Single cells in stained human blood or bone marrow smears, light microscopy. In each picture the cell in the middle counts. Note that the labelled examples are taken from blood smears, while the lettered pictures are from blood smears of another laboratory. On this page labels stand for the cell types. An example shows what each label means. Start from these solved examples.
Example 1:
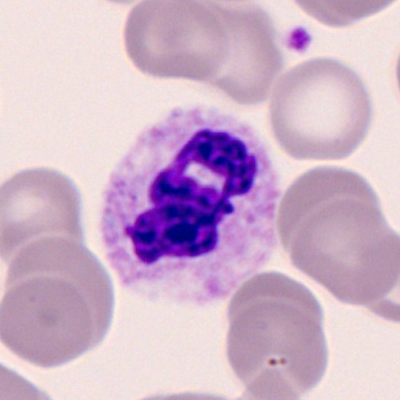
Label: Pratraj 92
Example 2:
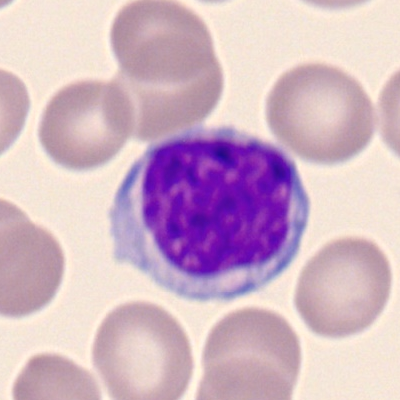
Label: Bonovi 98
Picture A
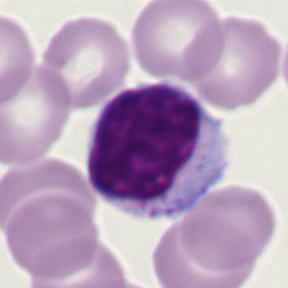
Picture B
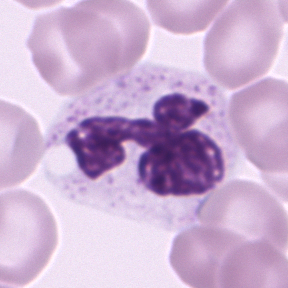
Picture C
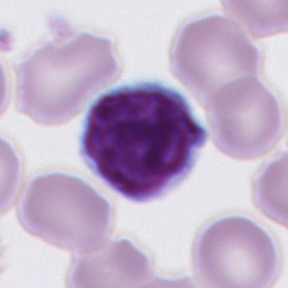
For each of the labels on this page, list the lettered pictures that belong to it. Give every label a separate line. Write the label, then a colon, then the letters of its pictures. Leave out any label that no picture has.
Pratraj 92: B
Bonovi 98: A, C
